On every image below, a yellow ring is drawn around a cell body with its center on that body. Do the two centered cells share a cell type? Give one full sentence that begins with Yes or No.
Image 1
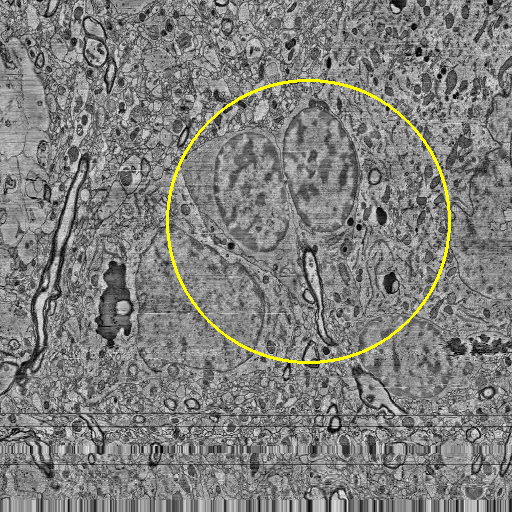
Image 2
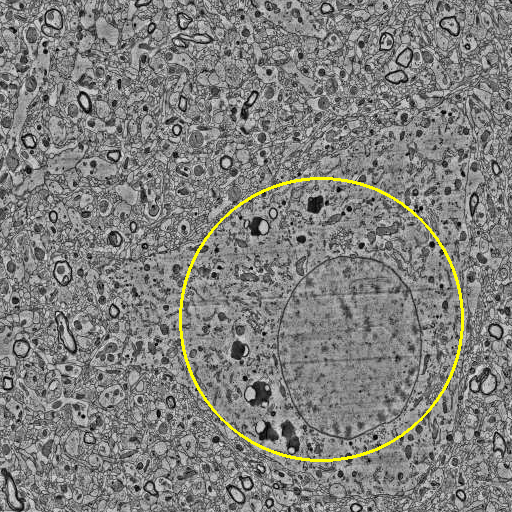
No, the centered cells in the two images are of two separate cell types.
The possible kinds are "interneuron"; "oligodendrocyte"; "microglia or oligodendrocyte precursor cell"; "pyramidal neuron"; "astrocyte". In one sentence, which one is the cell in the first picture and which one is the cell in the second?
The cell ringed in the second picture is a pyramidal neuron, whereas the one ringed in the first is an oligodendrocyte.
